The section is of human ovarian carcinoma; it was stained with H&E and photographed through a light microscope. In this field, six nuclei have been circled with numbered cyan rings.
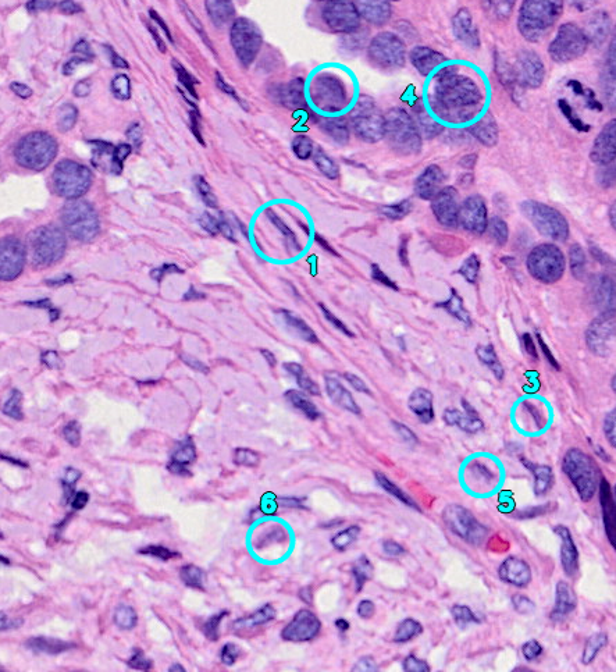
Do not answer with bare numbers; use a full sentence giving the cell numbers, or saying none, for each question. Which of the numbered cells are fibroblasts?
The cells tagged 1, 3, 5 and 6 are fibroblasts in this tissue section.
